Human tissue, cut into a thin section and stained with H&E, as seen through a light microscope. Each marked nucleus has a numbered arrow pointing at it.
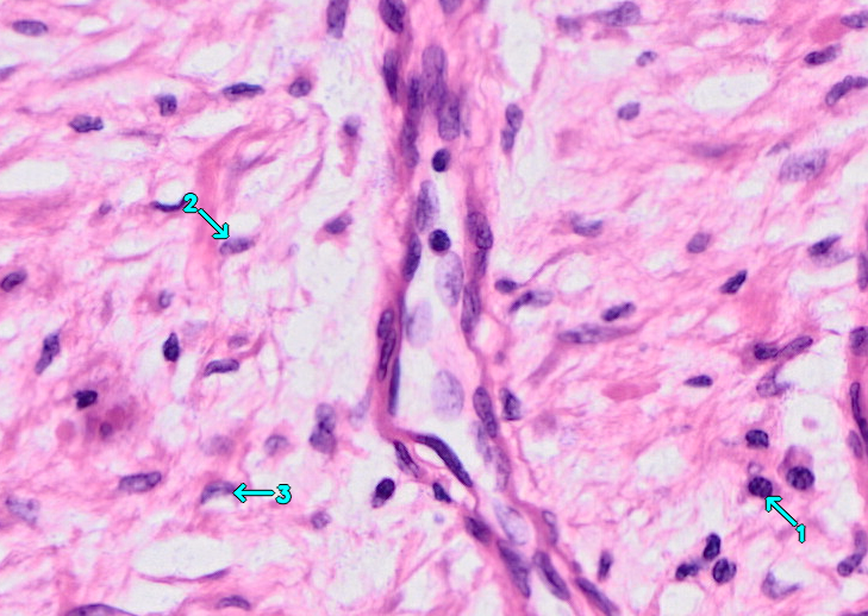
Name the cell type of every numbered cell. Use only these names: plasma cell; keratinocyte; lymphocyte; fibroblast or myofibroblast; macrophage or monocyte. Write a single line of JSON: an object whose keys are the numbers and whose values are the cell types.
{"1": "plasma cell", "2": "fibroblast or myofibroblast", "3": "fibroblast or myofibroblast"}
